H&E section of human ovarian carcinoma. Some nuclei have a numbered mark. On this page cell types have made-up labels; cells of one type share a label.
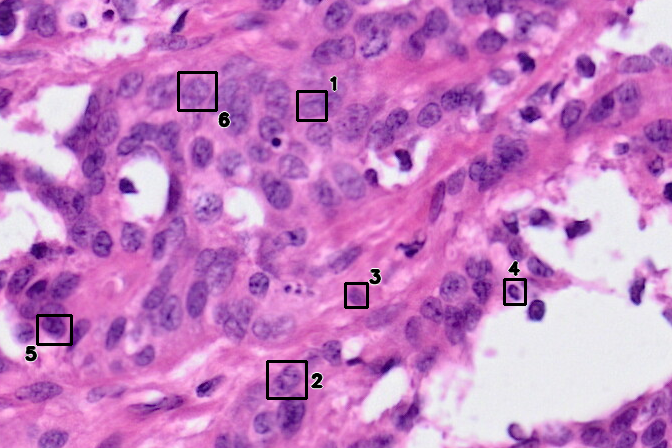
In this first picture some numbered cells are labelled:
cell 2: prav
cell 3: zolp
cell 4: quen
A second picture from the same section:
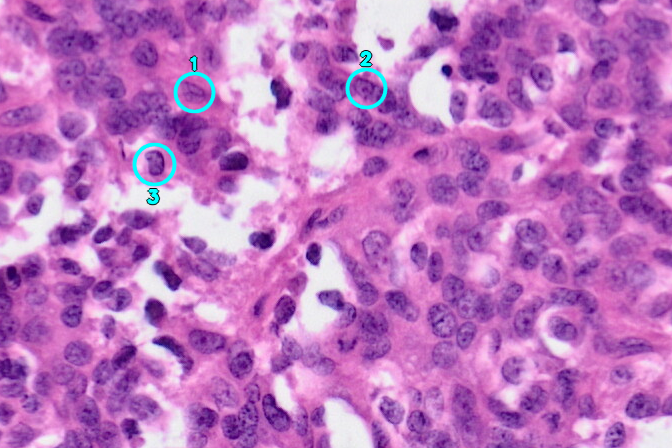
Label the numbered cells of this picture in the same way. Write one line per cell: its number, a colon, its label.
1: zolp
2: prav
3: quen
